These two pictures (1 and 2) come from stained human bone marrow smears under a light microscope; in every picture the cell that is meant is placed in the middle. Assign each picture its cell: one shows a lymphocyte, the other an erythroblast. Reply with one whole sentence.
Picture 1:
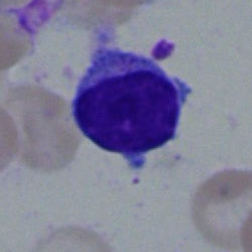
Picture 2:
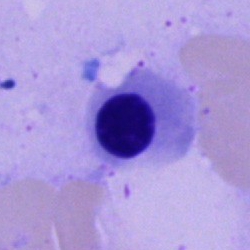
Picture 1 shows a lymphocyte and picture 2 shows an erythroblast.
